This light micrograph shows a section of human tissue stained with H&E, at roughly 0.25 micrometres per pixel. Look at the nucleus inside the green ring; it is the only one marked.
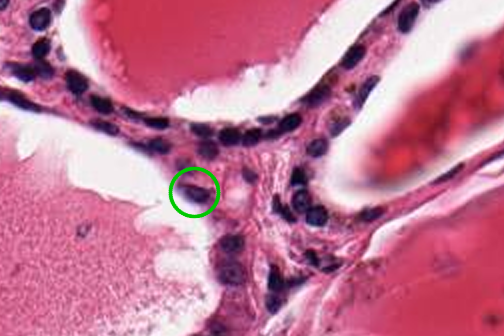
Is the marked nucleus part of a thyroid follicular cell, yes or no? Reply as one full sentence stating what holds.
Yes, the marked nucleus is located in a thyroid follicular cell.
